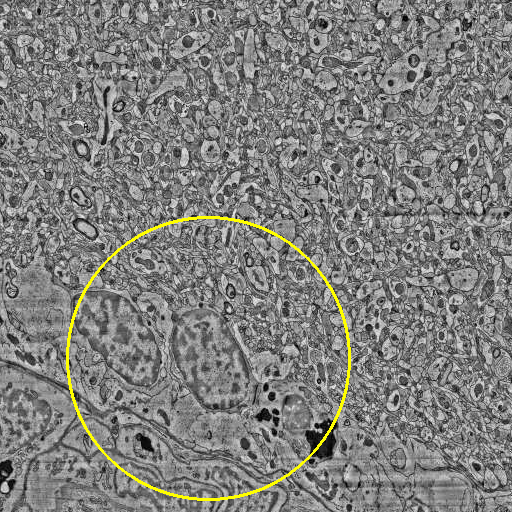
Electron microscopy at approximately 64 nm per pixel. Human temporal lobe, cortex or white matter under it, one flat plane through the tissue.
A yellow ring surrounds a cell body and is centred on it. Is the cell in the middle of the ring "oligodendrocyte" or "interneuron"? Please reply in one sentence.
The ring is centred on an oligodendrocyte.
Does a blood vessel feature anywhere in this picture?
Yes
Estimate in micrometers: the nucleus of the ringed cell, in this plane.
The nucleus comes to approximately 7 by 4 micrometres and is clearly longer than it is wide in this plane.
